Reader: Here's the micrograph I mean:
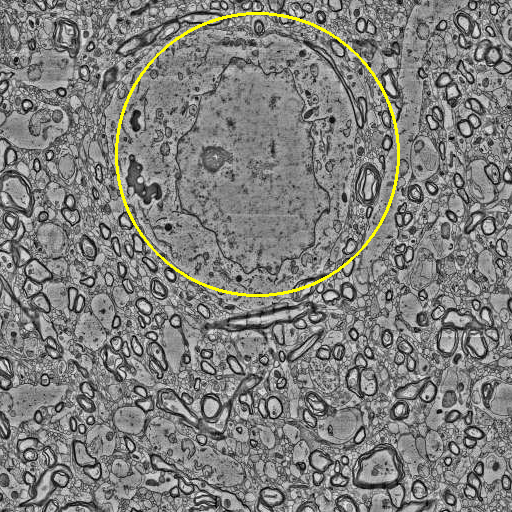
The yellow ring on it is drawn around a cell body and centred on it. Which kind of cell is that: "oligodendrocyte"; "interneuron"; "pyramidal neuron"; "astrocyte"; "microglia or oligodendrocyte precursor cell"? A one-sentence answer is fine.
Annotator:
The ring is centred on a pyramidal neuron.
